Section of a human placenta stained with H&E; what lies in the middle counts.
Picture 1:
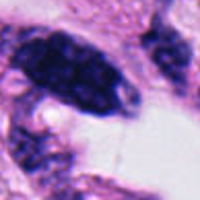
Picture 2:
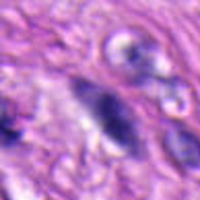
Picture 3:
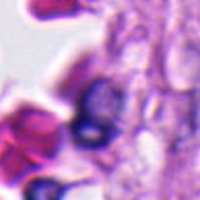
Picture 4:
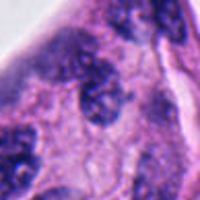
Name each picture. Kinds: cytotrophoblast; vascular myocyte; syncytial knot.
1: syncytial knot
2: vascular myocyte
3: vascular myocyte
4: cytotrophoblast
